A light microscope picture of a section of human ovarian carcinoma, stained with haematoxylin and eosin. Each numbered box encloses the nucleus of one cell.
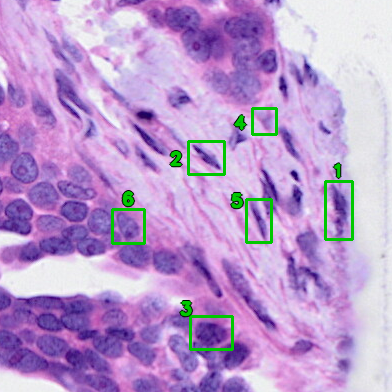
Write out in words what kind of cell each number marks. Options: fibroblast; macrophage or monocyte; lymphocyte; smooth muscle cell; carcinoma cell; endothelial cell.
Cell 1 is a fibroblast, cell 2 is a fibroblast, cell 3 is a carcinoma cell, cell 4 is a fibroblast, cell 5 is a fibroblast and cell 6 is a carcinoma cell.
